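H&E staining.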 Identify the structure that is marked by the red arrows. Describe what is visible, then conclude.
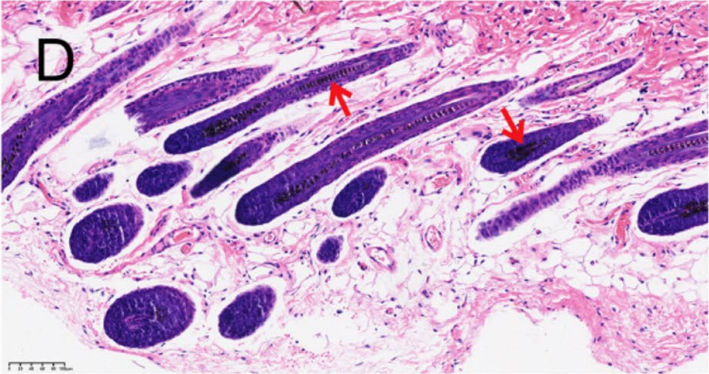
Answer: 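Melanin granules. Dark brown-black granules lie within the elongated purple follicle profiles the arrows point to. The dark granules run in a line along the centre of the follicles.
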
